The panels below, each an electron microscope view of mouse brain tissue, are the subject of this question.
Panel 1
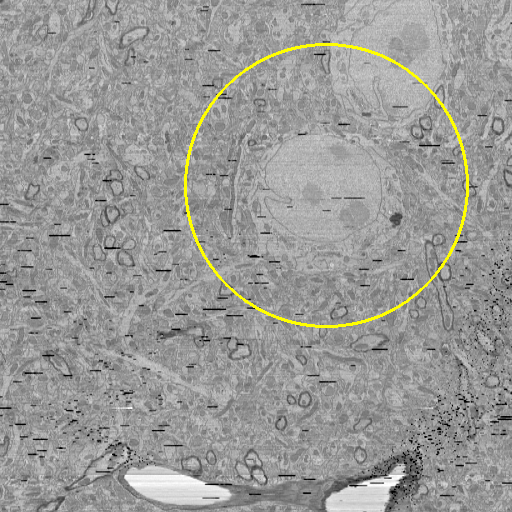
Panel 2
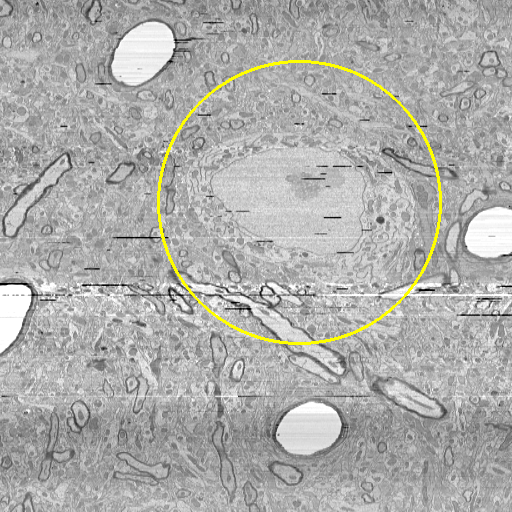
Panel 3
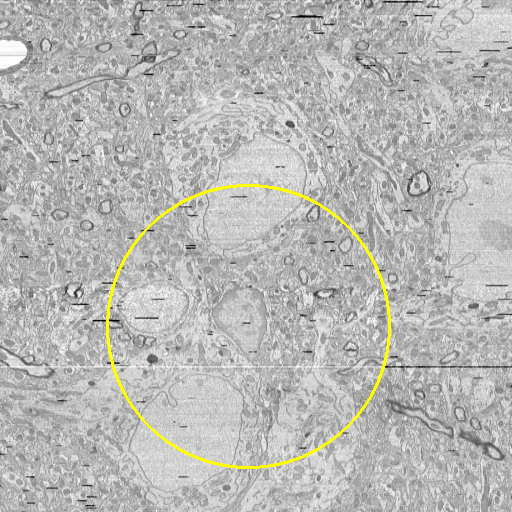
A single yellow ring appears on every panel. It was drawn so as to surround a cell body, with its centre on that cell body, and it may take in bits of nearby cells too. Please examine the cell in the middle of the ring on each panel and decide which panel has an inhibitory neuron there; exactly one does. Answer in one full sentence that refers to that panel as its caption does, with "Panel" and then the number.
Panel 2 is where the ring's central cell answers the question.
